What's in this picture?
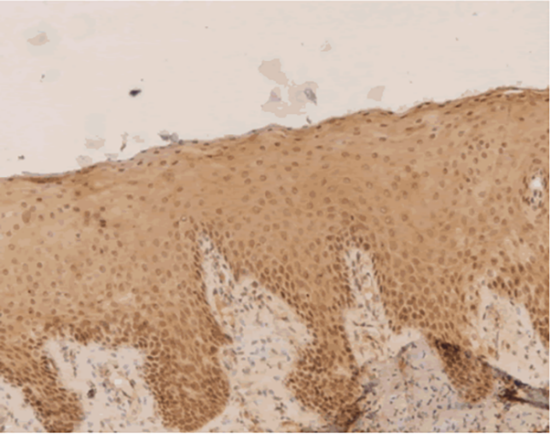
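Stratified squamous epithelium over connective tissue, with elongated rete ridges projecting down into the underlying stroma. Brown stain fills the full thickness of the epithelium, in both nuclei and cytoplasm, darkest in the basal and parabasal layers at the tips of the rete ridges and somewhat paler toward the surface. Cells flatten progressively toward the smooth surface, which has a thin darker outer line. The connective tissue papillae between the ridges are pale, loosely fibrous, with scattered small spindle-shaped nuclei and little brown colour.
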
